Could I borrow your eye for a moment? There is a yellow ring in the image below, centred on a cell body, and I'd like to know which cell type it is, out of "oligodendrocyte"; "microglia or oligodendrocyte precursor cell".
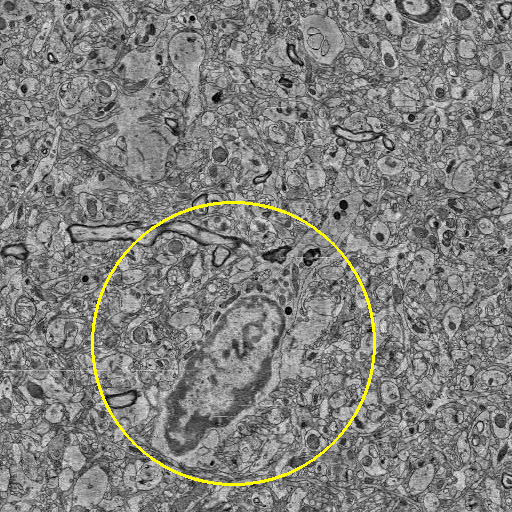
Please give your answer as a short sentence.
The cell body at the centre is that of a microglial cell or oligodendrocyte precursor cell.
